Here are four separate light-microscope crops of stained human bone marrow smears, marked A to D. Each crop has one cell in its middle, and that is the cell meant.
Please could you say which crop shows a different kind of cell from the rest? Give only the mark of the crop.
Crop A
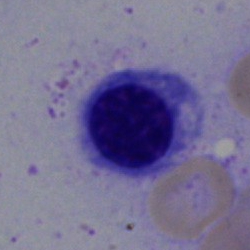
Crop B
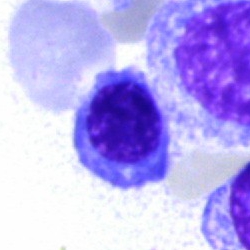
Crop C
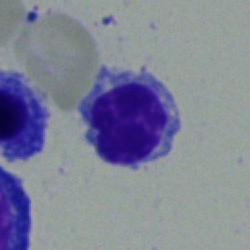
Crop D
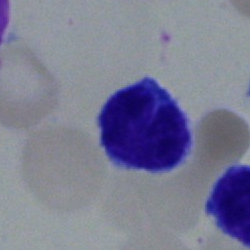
D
